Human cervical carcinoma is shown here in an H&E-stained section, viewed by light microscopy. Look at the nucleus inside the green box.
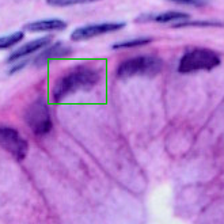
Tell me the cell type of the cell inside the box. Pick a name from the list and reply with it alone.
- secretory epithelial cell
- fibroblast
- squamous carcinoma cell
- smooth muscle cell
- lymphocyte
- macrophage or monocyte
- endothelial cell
secretory epithelial cell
